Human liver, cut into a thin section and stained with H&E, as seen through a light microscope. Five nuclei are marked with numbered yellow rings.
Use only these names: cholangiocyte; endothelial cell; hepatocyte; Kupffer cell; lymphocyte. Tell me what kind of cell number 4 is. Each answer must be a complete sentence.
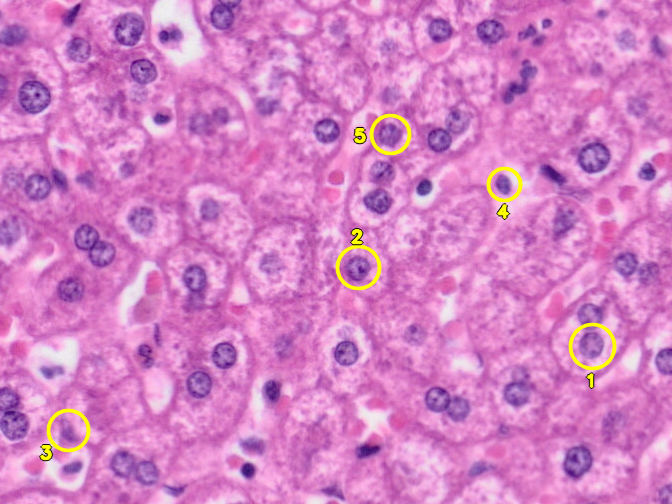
The cell tagged with 4 in this tissue section is a lymphocyte.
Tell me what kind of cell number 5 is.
The nucleus with number 5 is that of a hepatocyte.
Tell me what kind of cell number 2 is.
Identified by the number 2, the cell is a hepatocyte.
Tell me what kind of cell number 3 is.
Numbered cell 3 is a Kupffer cell in this tissue section.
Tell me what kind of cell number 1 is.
In this section, the cell numbered 1 is a hepatocyte.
